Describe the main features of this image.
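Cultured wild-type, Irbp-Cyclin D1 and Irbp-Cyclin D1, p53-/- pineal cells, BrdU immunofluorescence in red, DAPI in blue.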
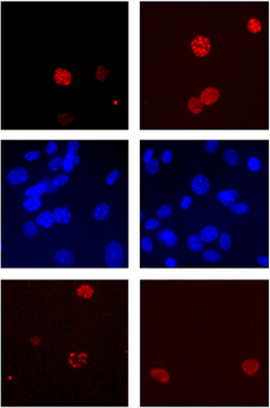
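In the blue-stained fields the nuclei are round to oval, fairly uniform in size and scattered across the field, some lying close together. The red-stained fields show only a minority of the nuclei, which appear as scattered round red bodies against a dark background. Some red nuclei are evenly stained, while others have a speckled, granular pattern. Cytoplasm and cell borders are not visible in either colour.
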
